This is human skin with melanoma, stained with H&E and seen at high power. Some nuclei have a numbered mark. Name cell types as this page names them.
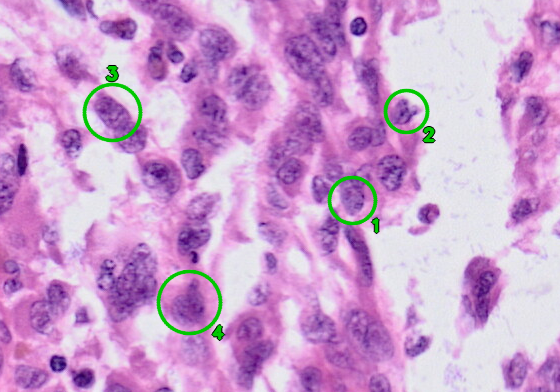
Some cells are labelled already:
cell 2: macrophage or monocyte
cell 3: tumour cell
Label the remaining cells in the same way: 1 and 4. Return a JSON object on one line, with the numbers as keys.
{"1": "tumour cell", "4": "tumour cell"}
